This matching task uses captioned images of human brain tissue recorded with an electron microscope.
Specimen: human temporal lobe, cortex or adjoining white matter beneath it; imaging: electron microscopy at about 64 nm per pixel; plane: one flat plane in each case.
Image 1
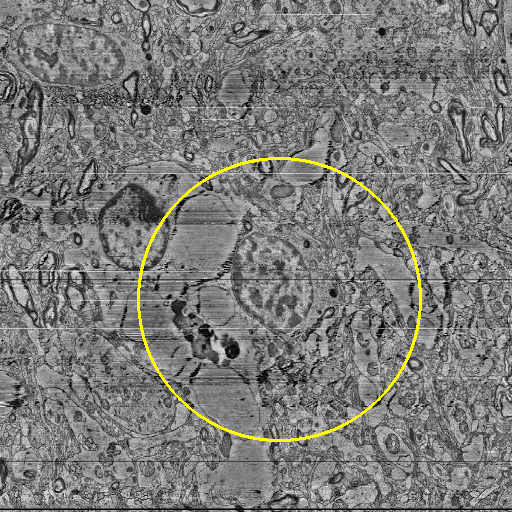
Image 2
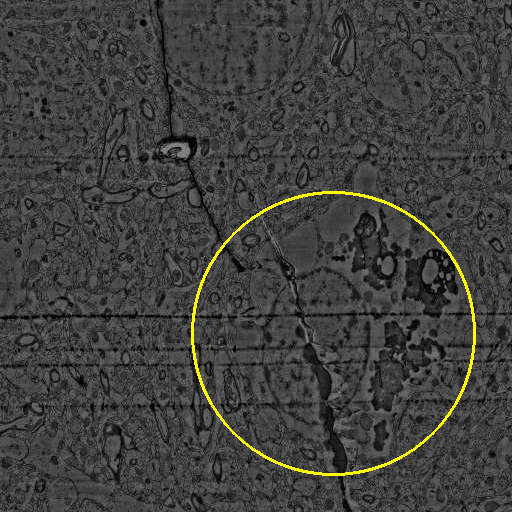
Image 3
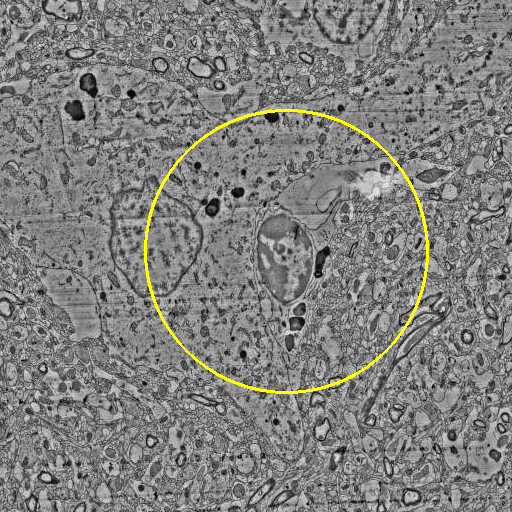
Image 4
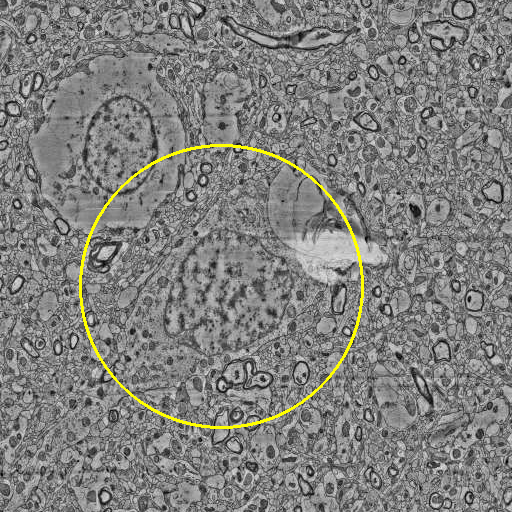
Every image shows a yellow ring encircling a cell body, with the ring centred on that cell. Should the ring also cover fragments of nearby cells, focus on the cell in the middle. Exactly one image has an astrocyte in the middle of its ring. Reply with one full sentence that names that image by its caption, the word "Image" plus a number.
Image 2 shows the cell in question at the centre of its yellow ring.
